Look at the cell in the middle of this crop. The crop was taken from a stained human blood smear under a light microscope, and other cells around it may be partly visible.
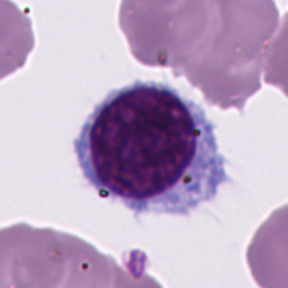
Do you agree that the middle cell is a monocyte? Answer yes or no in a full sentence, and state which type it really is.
No, in this crop the middle cell is a hairy cell, not a monocyte.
